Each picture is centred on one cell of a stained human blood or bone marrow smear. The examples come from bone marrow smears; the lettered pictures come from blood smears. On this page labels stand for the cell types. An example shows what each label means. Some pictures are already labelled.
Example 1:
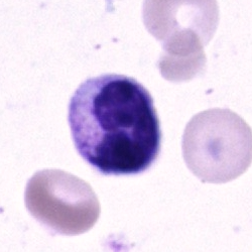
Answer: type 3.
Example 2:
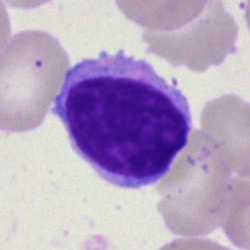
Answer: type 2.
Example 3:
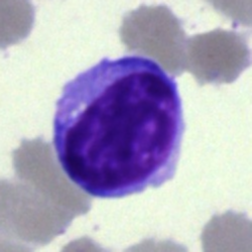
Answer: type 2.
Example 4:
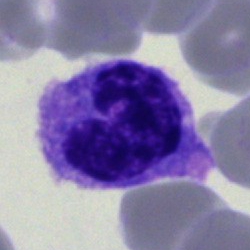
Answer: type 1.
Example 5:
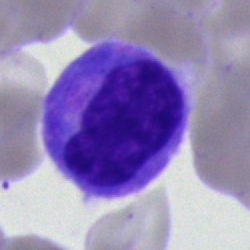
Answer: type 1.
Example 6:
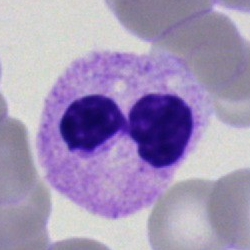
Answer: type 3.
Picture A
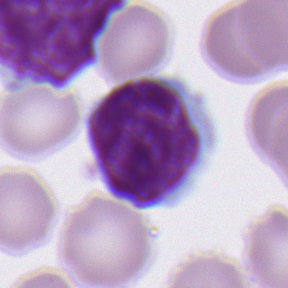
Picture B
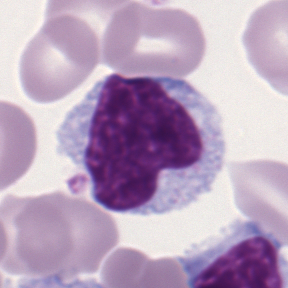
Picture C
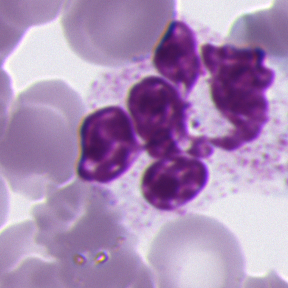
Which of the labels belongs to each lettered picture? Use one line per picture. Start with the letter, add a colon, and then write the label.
A: type 2.
B: type 2.
C: type 3.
